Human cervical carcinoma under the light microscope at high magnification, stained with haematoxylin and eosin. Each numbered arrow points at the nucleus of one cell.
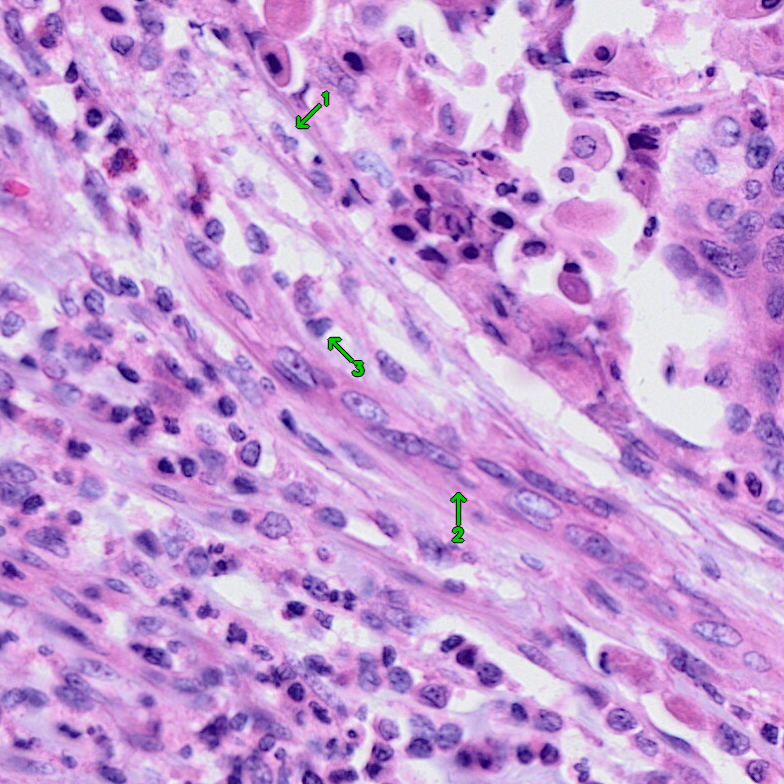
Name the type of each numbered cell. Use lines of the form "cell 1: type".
cell 1: fibroblast
cell 2: endothelial cell
cell 3: lymphocyte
